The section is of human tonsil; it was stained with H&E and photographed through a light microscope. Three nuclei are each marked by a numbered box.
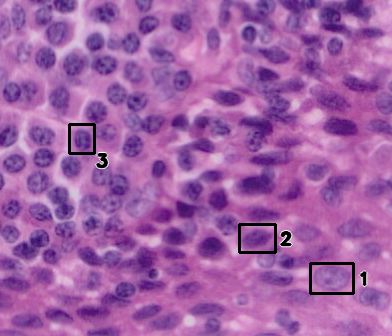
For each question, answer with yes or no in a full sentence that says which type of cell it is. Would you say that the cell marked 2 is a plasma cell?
No, cell 2 is not a plasma cell; a squamous epithelial cell is correct.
